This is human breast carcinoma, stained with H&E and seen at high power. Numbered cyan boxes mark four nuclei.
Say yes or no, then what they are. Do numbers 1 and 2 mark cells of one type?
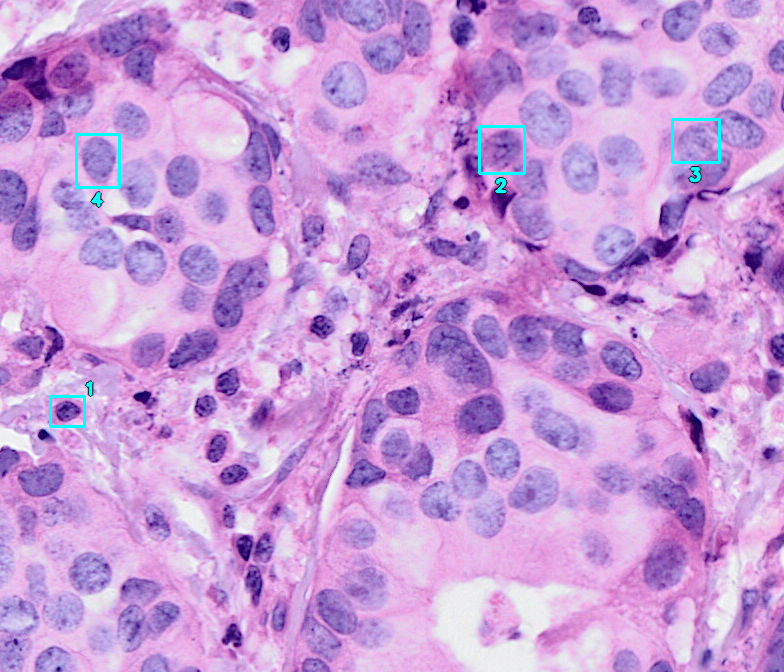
No, the cell numbered 1 is a mast cell and the cell numbered 2 is a carcinoma cell.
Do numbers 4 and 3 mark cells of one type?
Yes, by their numbers, cells 4 and 3 are both carcinoma cells.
